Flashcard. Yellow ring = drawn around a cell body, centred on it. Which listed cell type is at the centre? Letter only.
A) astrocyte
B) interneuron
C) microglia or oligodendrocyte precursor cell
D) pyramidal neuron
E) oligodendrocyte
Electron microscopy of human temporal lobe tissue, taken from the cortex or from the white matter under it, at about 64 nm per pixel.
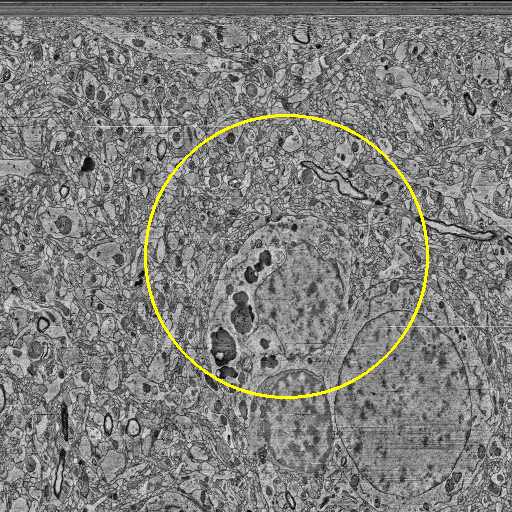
B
